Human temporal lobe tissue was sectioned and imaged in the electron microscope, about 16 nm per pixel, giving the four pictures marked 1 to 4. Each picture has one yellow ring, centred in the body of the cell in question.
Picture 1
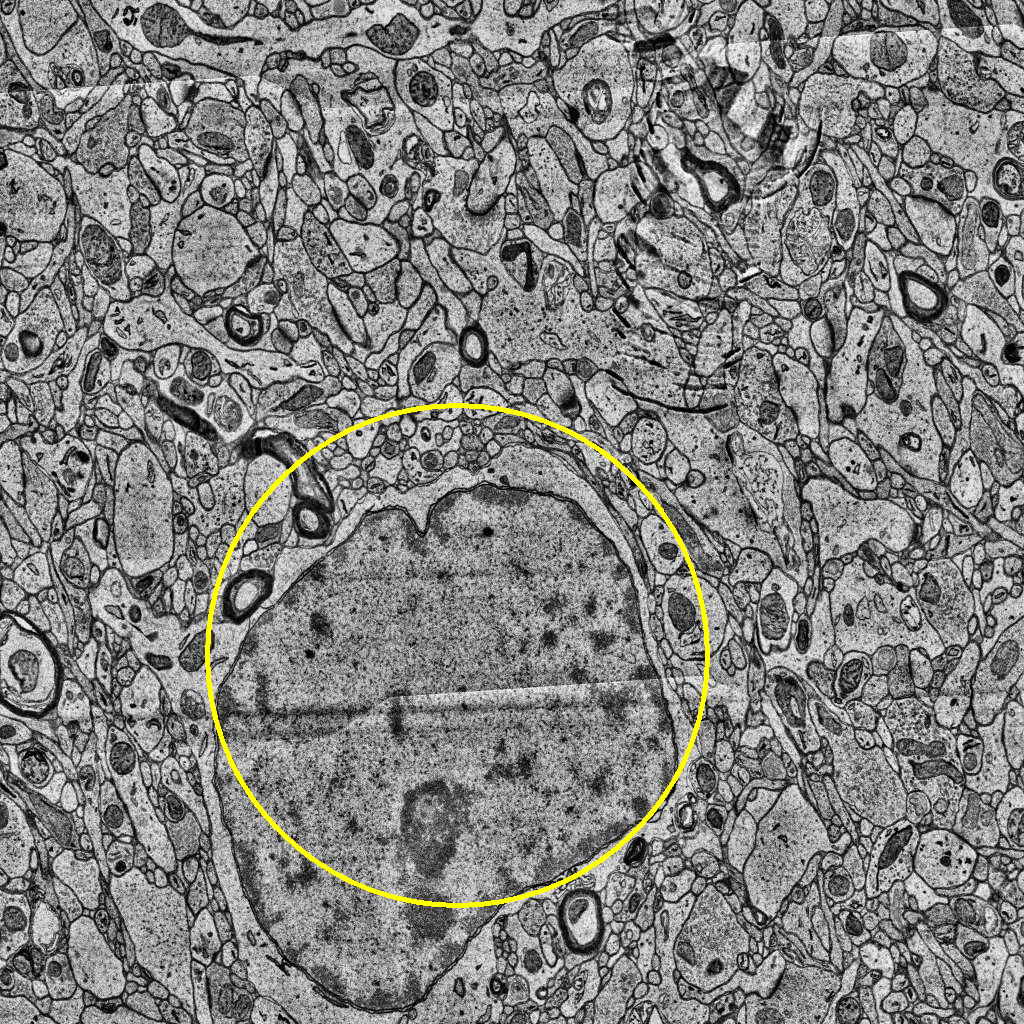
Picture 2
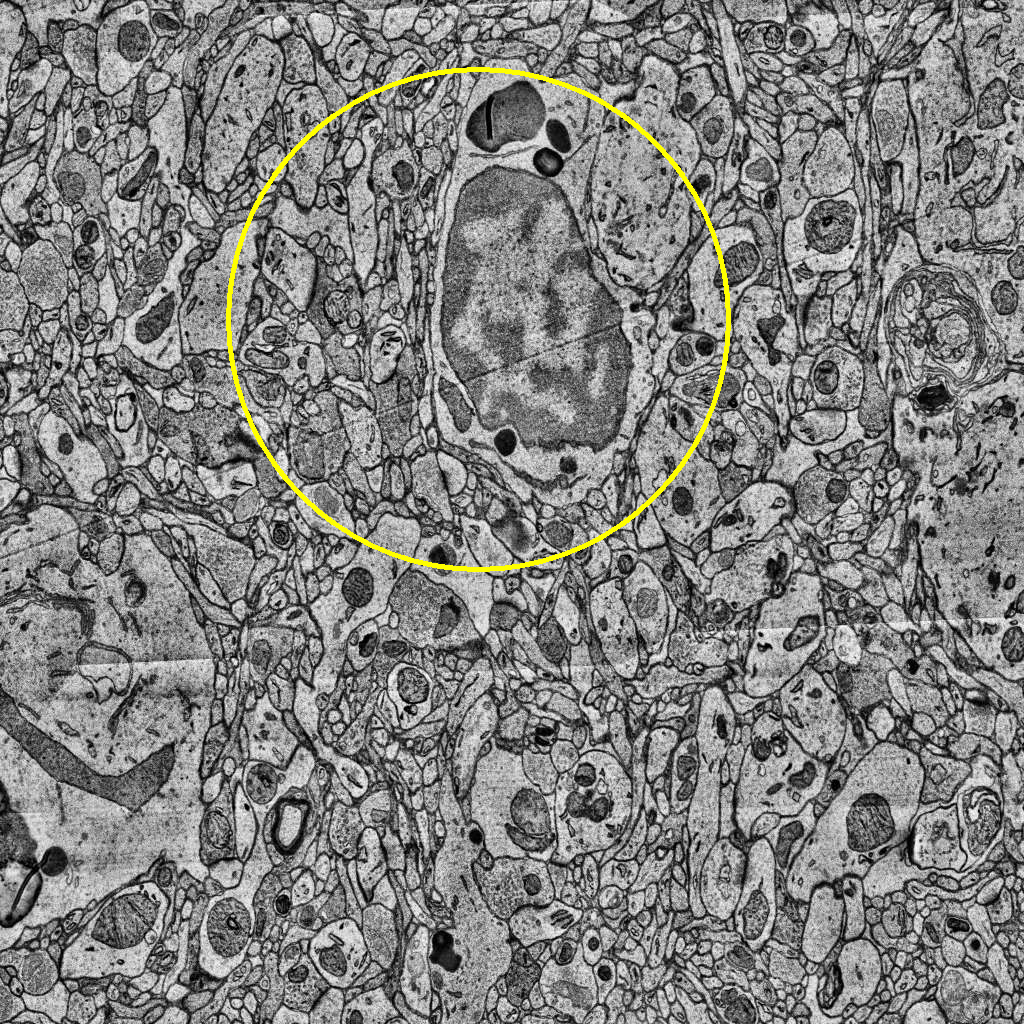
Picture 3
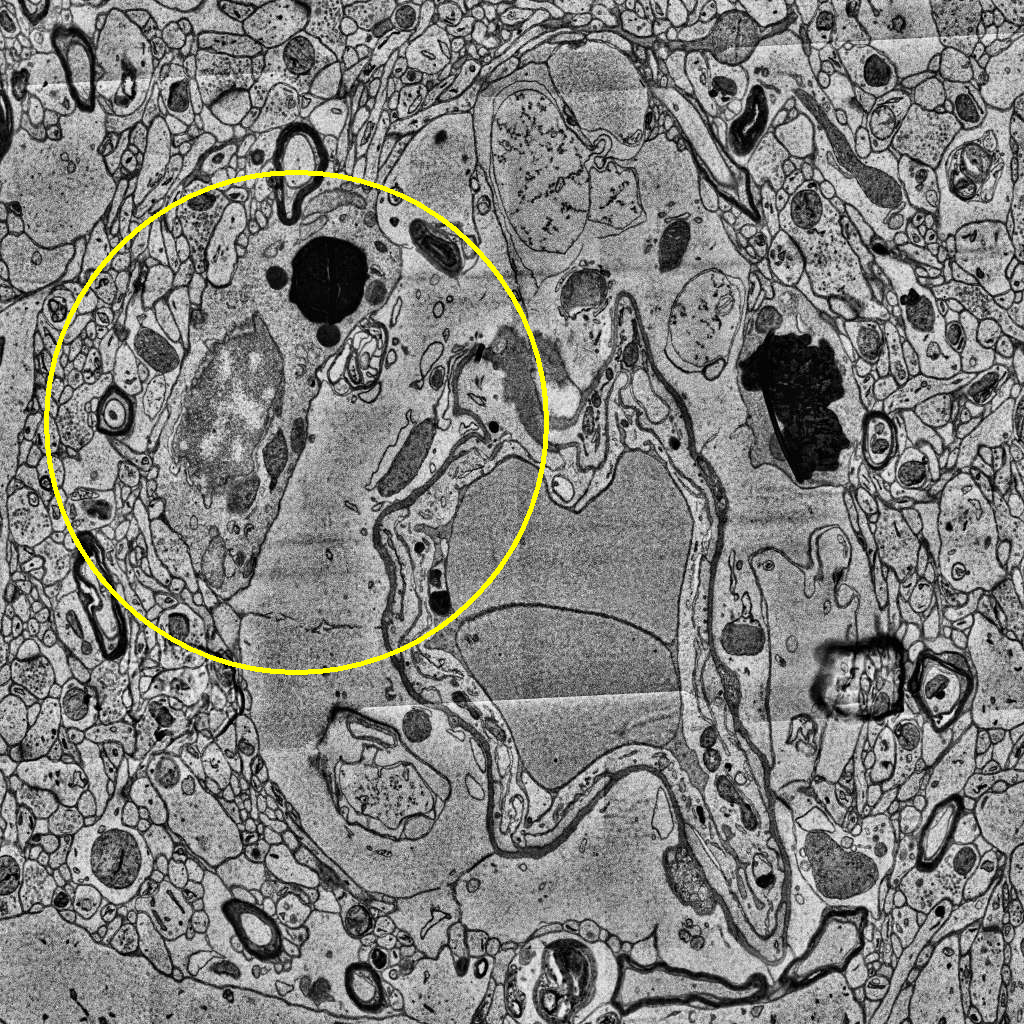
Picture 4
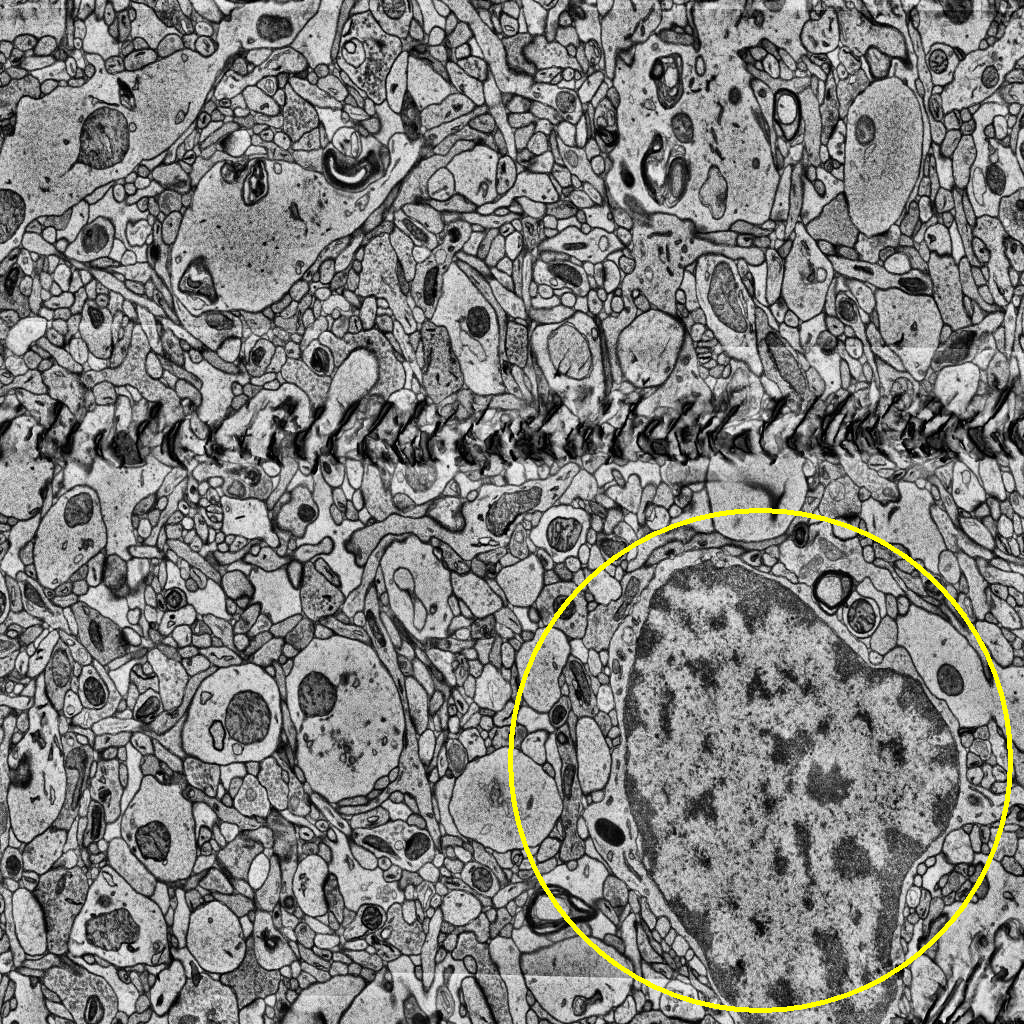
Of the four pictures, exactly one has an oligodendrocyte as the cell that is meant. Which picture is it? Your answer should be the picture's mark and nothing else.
3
